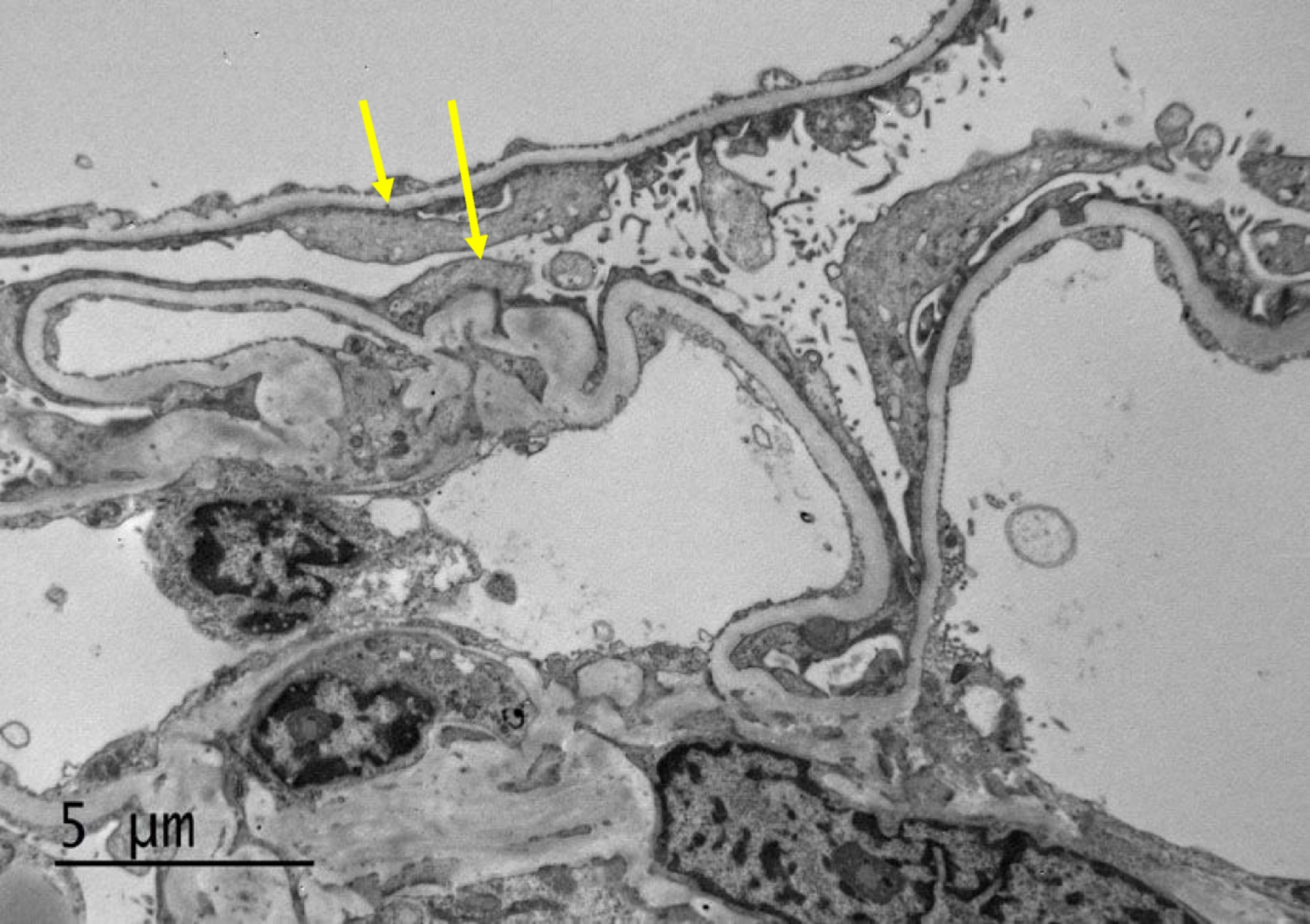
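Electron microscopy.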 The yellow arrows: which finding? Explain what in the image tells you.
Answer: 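Diffuse effacement of podocyte foot processes. At the arrows this cytoplasm forms a continuous flattened sheet along the membrane rather than separate regularly spaced processes.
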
